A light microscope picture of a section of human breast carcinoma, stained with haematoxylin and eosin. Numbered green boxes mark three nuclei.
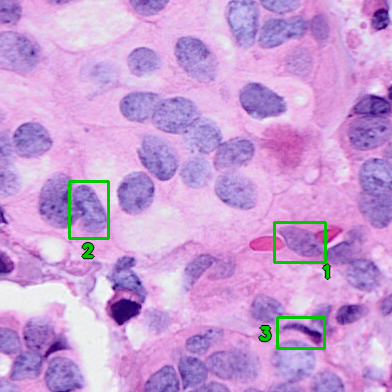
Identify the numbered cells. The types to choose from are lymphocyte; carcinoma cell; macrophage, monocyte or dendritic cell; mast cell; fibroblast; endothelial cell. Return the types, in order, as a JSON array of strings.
["endothelial cell", "carcinoma cell", "carcinoma cell"]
